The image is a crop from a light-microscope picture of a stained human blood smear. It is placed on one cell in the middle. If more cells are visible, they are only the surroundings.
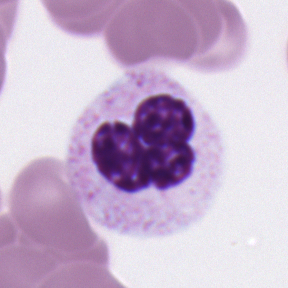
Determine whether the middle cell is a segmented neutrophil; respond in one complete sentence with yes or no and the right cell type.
Yes, the cell of interest in the middle is a segmented neutrophil.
